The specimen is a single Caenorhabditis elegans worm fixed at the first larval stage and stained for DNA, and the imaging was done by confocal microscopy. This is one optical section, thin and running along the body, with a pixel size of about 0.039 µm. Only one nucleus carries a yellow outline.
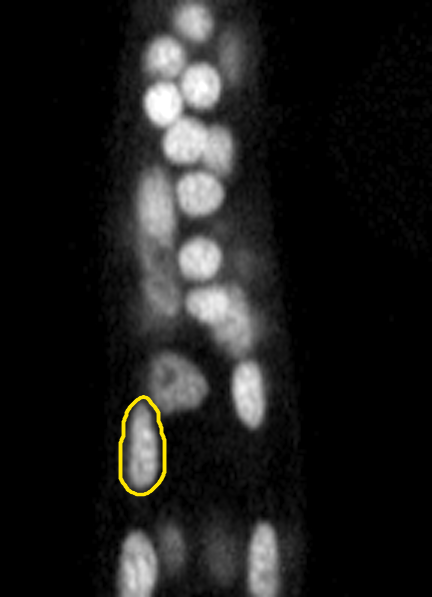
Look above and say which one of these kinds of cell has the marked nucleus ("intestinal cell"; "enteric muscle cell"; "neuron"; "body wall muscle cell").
body wall muscle cell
